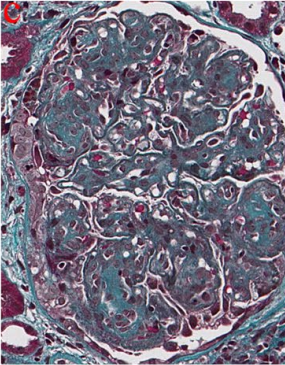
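A single large glomerulus fills the view, its tuft divided into lobules with blue-green matrix and thickened capillary walls, and few open lumens. At one edge, cells and fibrous blue-green material lie between the tuft and Bowman's capsule, and fibrous tissue surrounds the capsule. These are a lobulated glomerulus with a small cellular-fibrous crescent and periglomerular fibrosis.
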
